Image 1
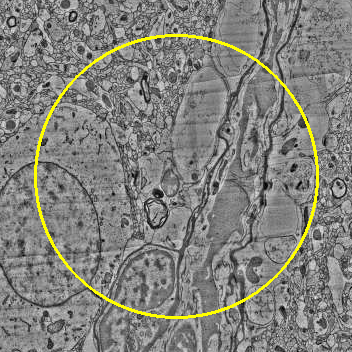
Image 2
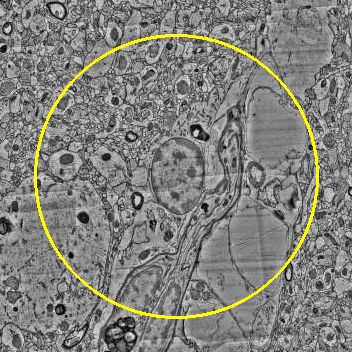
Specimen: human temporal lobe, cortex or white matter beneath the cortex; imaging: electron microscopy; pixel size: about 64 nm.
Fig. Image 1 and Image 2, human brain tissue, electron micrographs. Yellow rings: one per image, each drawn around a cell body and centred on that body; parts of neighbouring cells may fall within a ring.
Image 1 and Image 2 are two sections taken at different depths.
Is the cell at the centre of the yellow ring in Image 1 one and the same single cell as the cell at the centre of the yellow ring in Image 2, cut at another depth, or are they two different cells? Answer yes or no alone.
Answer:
yes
